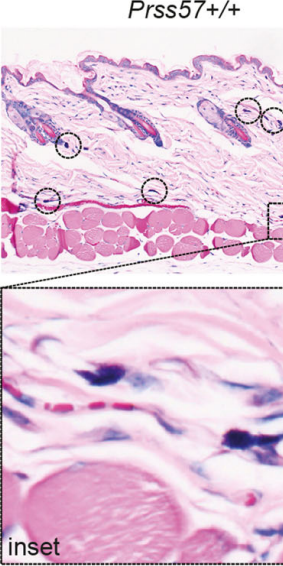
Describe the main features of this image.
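This cross-section of haired skin shows a thin surface epidermis, a dermis with hair follicles cut along their length, and a band of skeletal muscle bundles in pink at the bottom. Scattered through the pink collagen of the dermis, several circled cells stand out by their dark blue-purple staining; these are connective-tissue mast cells. At high magnification, the mast cells appear oval to elongated, their cytoplasm crowded with dark blue-purple granules. They lie among the wavy collagen bundles next to a transversely cut muscle fibre.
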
